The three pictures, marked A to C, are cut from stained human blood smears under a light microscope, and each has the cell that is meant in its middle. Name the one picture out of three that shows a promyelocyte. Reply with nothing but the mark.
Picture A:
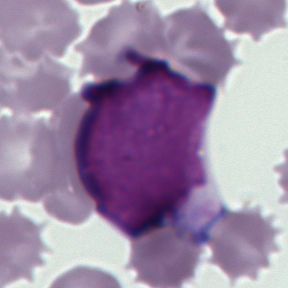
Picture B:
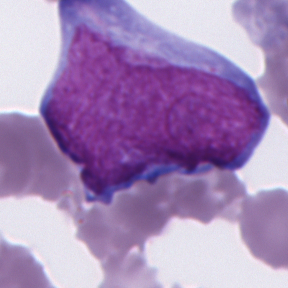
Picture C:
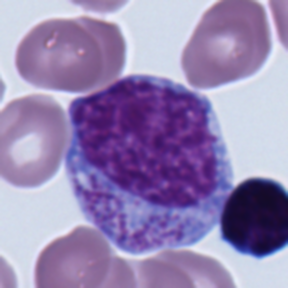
C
